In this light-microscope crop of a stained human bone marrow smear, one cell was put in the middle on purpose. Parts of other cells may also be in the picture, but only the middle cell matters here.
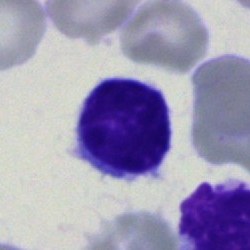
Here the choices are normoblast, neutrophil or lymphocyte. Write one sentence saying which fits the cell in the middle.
The cell that lies at the centre of the crop is a lymphocyte.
